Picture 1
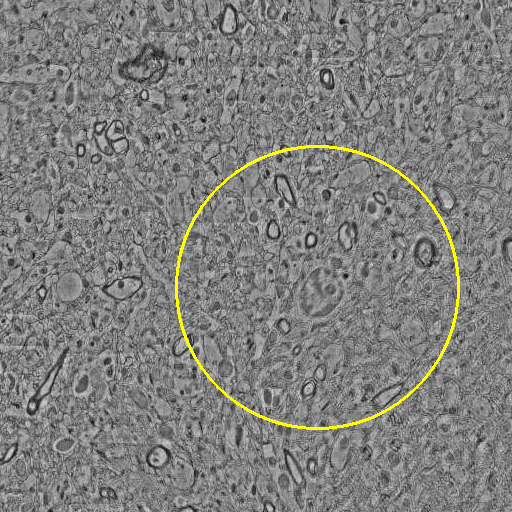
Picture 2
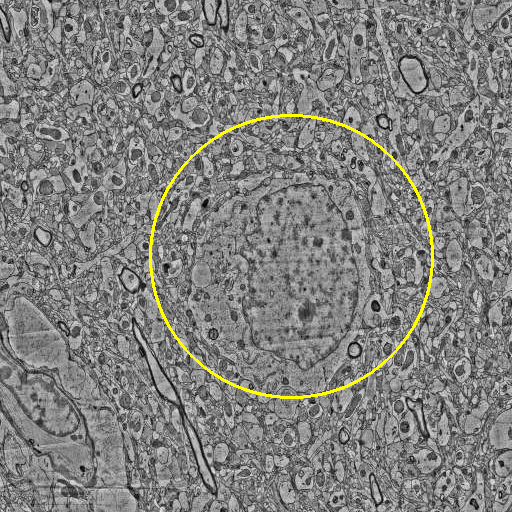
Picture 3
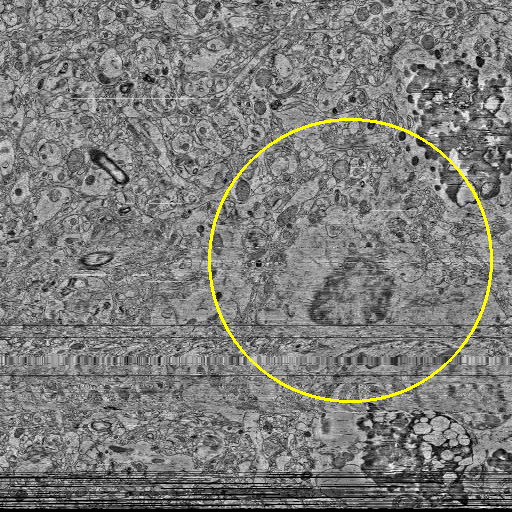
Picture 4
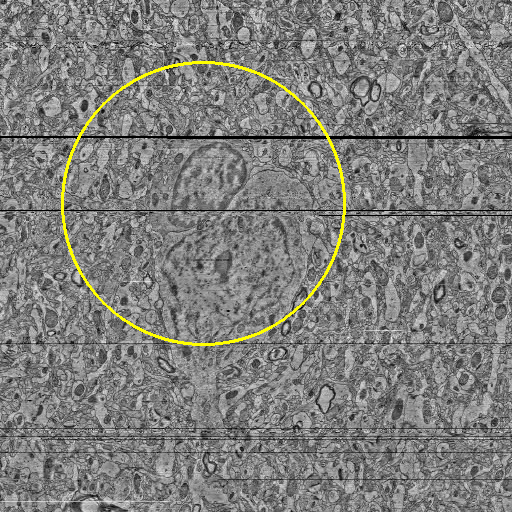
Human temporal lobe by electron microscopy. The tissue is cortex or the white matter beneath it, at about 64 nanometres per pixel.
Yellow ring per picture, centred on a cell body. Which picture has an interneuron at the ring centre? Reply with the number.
2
